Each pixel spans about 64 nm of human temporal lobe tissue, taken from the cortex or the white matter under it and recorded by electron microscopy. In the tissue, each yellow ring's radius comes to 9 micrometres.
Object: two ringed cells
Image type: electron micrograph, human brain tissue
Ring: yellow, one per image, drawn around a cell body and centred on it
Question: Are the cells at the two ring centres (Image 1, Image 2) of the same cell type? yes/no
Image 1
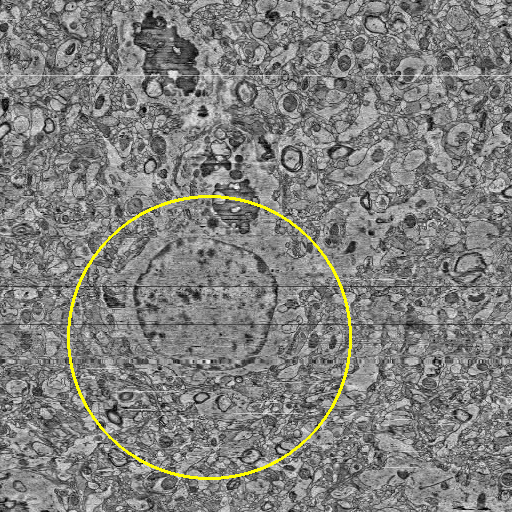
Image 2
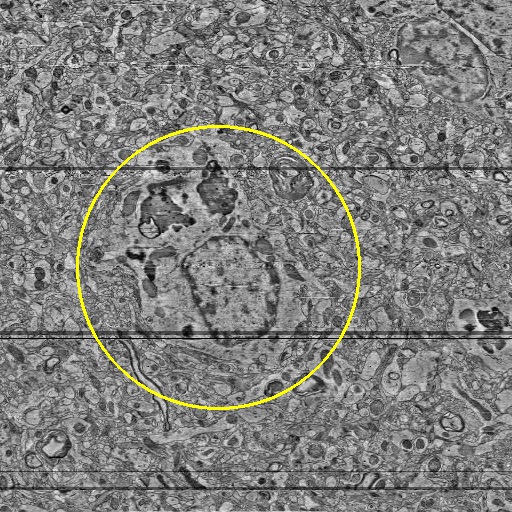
yes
